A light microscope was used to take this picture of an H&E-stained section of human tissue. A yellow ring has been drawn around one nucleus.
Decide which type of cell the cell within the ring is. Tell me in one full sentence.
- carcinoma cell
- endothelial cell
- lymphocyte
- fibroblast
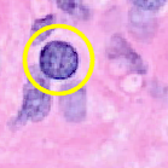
The identity of the cell within the ring is that of a carcinoma cell.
